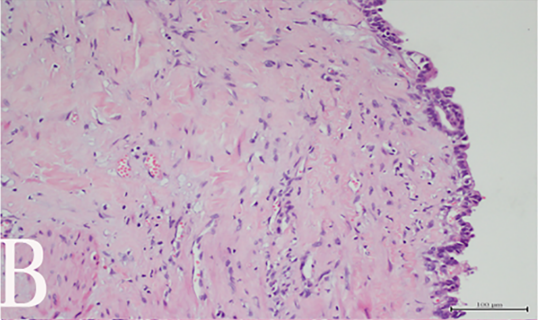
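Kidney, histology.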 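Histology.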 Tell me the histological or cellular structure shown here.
Cyst wall.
